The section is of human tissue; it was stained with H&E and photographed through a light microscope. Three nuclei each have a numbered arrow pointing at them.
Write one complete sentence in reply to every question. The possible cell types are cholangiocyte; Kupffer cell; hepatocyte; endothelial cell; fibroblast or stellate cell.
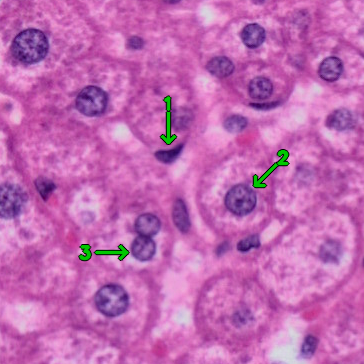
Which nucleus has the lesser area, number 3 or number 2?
Nucleus 3 is the smaller one; nucleus 2 covers about 1.5 times its area.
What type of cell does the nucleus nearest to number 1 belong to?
The cell nearest to number 1 is a hepatocyte.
